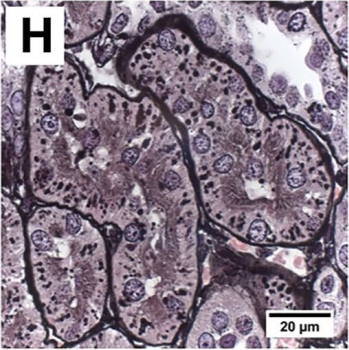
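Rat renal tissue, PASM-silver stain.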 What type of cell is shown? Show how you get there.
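Tubules are lined by cuboidal cells with round nuclei. Cells bear a luminal brush-border-like fringe. The answer: proximal tubular cells.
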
